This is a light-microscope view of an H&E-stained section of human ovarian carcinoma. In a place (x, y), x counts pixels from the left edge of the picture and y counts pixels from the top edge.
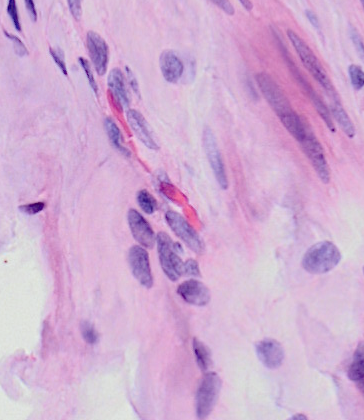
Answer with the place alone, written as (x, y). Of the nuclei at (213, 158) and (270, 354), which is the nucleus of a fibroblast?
(270, 354)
